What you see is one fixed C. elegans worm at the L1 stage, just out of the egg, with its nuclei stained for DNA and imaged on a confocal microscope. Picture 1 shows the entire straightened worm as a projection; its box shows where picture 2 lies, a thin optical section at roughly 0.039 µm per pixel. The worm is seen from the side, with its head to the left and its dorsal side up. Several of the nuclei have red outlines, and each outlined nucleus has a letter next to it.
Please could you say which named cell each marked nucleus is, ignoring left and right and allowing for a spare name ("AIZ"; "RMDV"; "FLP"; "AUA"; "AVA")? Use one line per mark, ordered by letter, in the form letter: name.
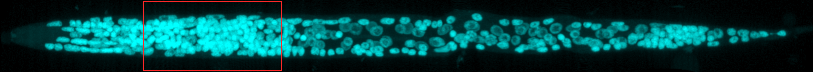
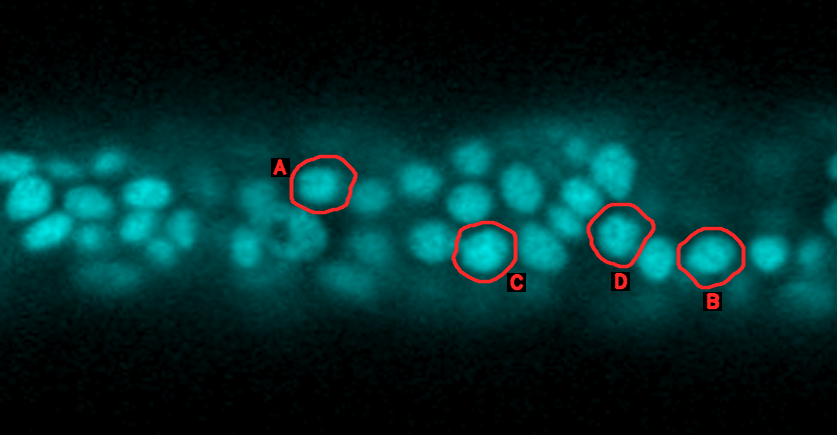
A: RMDV
B: FLP
C: AUA
D: AIZ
